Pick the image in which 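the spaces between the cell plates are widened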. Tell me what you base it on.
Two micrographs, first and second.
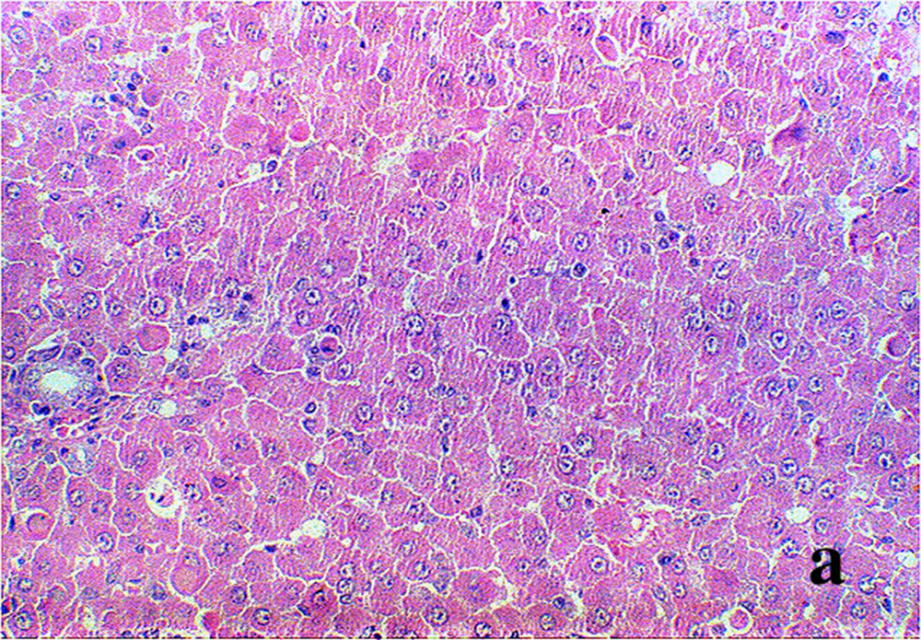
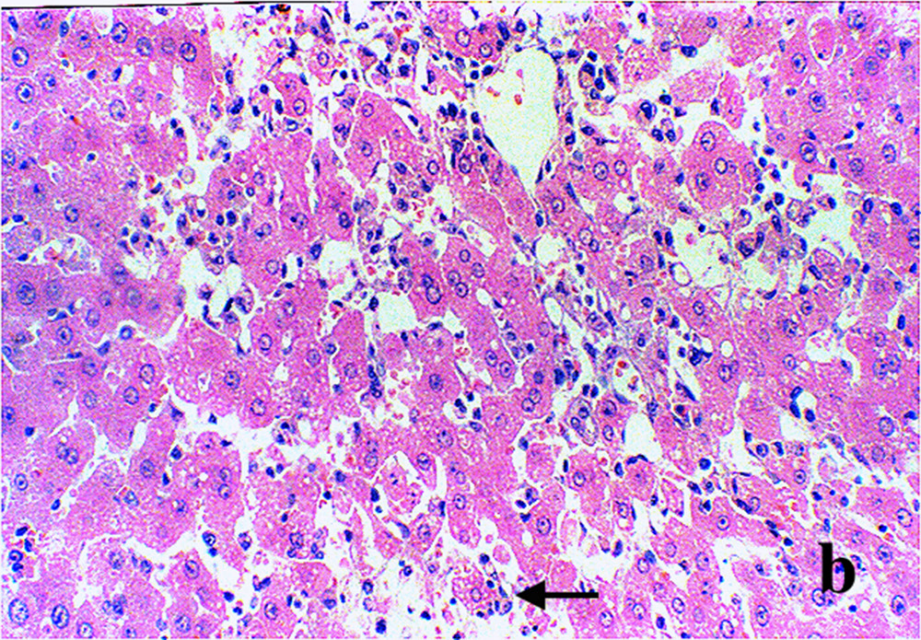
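The second image. Second image: broad, irregular clear spaces separate the cell plates, and a wide empty vessel lies at the top centre. First image: the cell plates lie close together, separated only by narrow slits.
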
